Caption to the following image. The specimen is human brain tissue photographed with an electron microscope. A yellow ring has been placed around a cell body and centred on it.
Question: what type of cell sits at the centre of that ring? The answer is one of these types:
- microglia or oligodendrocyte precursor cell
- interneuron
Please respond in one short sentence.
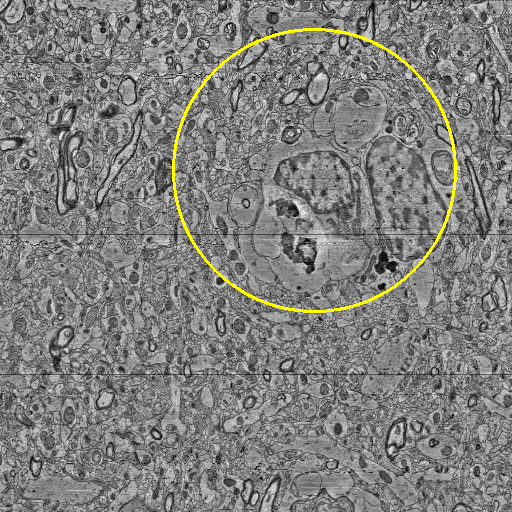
The ring surrounds the cell body of a microglial cell or oligodendrocyte precursor cell.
